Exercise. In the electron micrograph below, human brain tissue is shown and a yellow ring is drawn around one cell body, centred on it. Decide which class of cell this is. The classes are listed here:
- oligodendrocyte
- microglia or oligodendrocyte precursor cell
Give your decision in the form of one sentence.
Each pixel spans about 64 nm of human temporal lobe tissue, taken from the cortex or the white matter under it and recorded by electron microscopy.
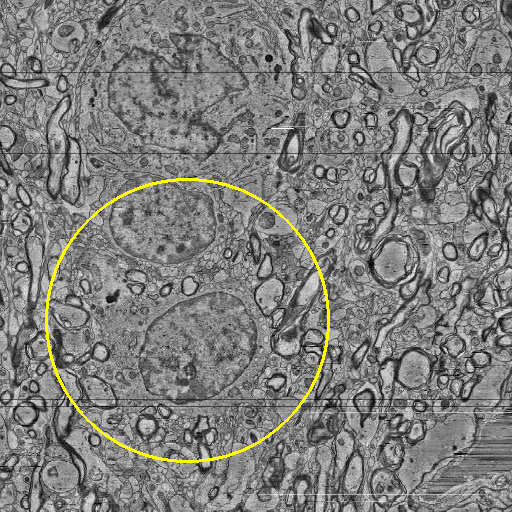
The cell body marked by the ring belongs to an oligodendrocyte.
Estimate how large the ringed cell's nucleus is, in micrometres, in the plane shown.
Roughly 8 by 6 micrometres in this plane, for the nucleus of the ringed cell.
